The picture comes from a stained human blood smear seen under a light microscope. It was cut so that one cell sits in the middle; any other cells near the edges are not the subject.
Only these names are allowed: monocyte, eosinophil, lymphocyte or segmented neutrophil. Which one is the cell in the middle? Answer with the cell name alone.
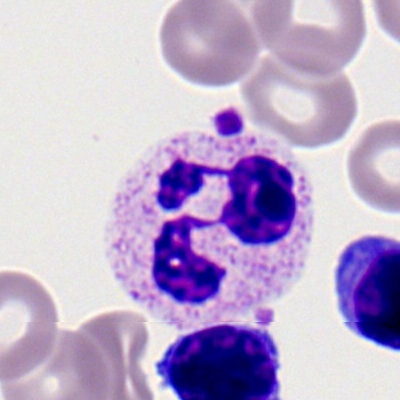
segmented neutrophil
